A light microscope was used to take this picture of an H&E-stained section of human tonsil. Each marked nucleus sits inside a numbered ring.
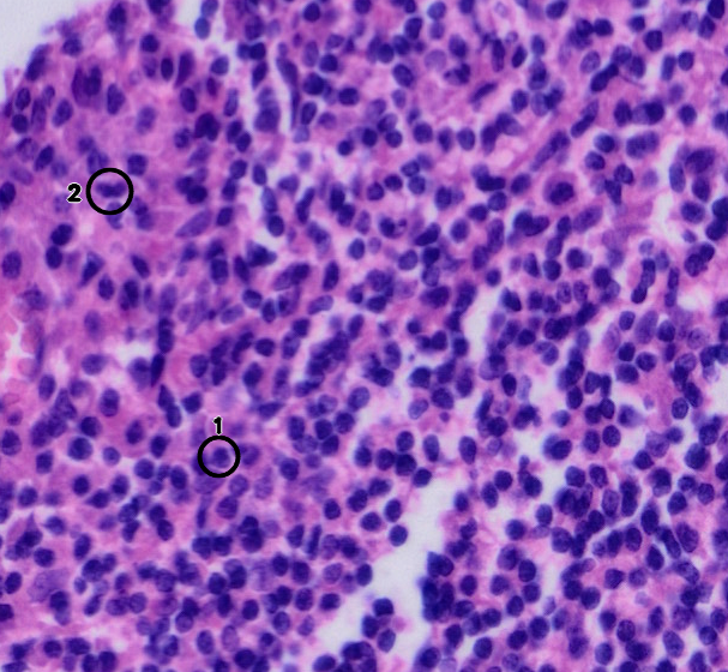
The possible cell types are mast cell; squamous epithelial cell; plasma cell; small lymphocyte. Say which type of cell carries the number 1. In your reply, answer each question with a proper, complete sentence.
Number 1 among the marked cells is a small lymphocyte.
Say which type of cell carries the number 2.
Numbered cell 2 is a plasma cell in this tissue section.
